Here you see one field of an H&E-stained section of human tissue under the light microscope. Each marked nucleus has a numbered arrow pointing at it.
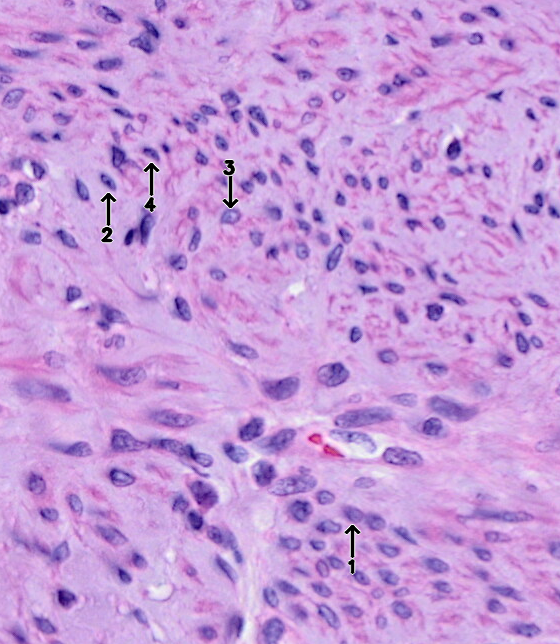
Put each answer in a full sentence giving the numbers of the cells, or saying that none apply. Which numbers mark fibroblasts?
The nucleus labelled 2 alone belongs to a fibroblast; the other marked nuclei do not.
